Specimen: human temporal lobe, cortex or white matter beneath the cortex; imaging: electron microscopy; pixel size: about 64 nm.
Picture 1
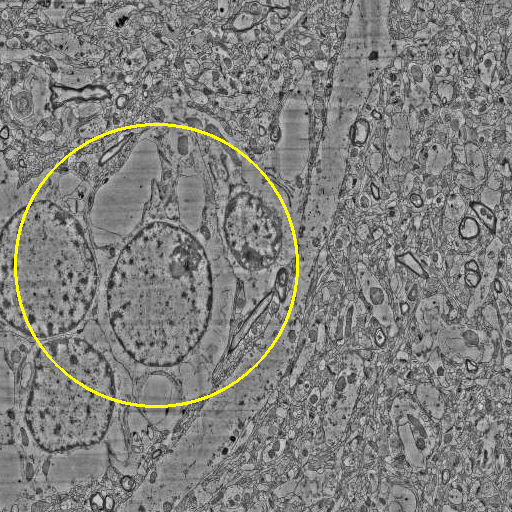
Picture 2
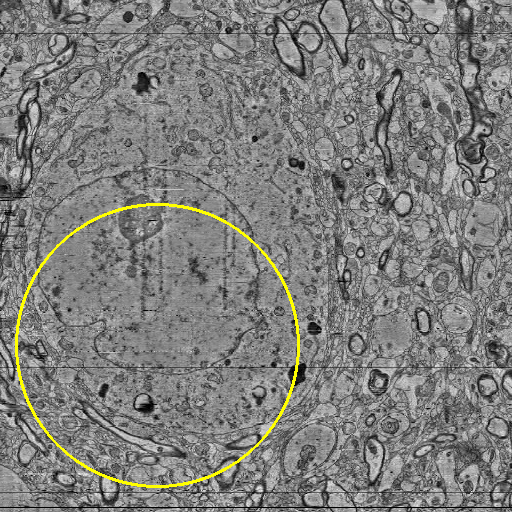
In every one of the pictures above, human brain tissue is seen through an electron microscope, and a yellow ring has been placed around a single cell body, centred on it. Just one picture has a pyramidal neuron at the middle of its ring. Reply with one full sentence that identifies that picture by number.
It is picture 2 that shows the wanted cell at its ring's centre.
